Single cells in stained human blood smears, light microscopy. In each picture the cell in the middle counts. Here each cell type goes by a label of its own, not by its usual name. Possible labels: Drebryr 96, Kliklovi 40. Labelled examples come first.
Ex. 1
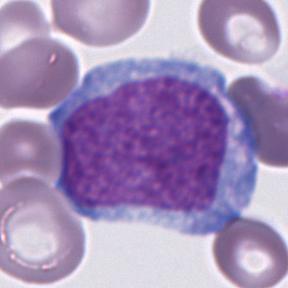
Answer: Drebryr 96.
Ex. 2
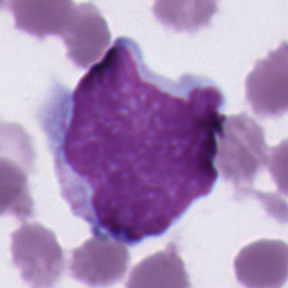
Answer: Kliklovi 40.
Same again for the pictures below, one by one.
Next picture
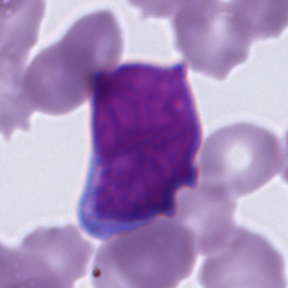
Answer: Kliklovi 40.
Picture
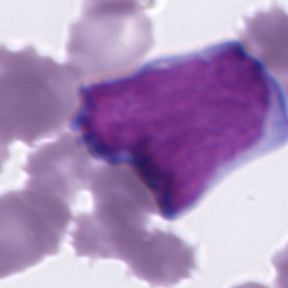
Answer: Kliklovi 40.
